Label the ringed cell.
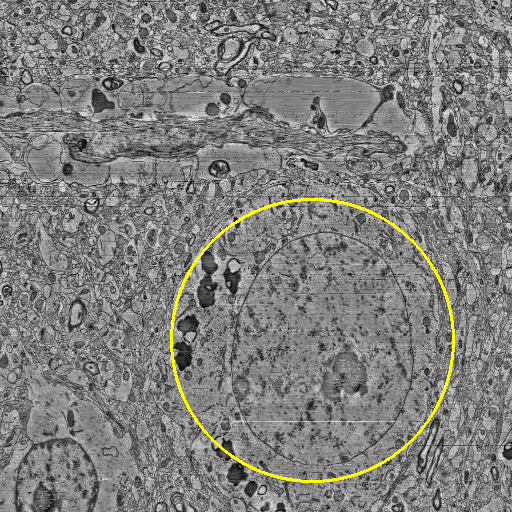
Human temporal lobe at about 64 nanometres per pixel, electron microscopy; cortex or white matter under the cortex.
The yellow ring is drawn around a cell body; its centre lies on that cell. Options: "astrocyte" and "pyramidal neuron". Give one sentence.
The ringed cell is a pyramidal neuron.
